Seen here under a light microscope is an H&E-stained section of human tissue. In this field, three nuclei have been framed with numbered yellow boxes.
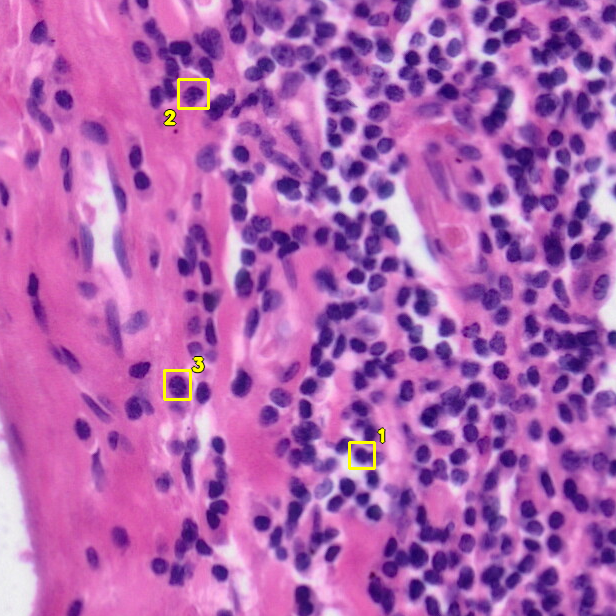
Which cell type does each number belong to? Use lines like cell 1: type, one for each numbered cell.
cell 1: small lymphocyte
cell 2: plasma cell
cell 3: plasma cell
